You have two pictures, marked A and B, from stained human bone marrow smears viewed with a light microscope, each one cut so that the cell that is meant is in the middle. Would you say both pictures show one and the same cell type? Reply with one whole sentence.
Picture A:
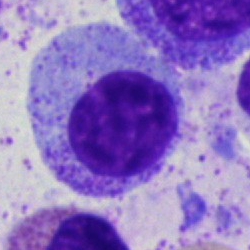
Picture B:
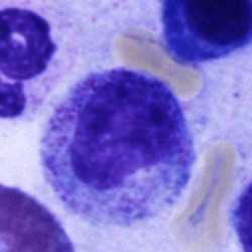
Yes; the cells in both pictures are myelocytes.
